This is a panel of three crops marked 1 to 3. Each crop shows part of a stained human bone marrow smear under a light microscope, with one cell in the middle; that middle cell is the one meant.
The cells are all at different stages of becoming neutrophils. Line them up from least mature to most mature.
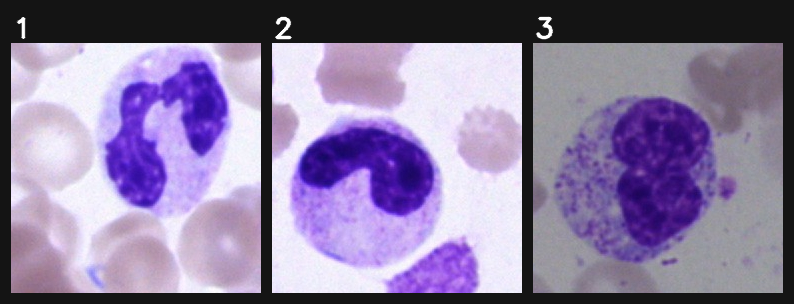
3, 2, 1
